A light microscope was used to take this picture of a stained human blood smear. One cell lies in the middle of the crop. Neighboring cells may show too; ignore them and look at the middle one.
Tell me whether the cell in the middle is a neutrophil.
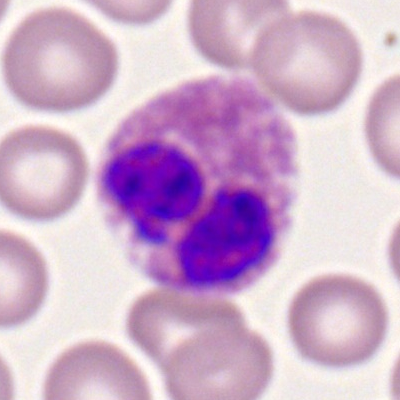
no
